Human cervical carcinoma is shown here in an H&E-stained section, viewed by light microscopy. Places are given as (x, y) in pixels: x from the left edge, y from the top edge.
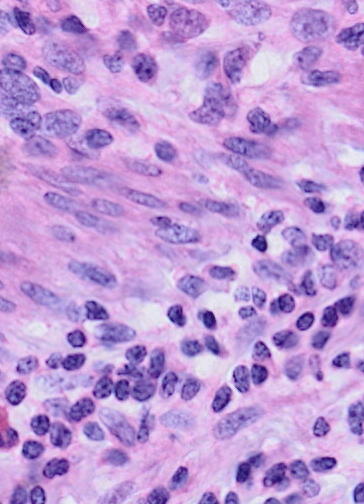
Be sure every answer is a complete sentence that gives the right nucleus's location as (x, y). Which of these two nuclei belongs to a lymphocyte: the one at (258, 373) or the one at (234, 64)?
The nucleus located at (258, 373) is the one held within a lymphocyte.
